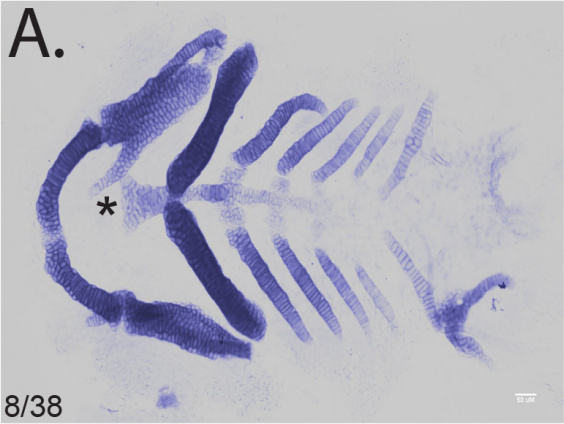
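This is the cartilage skeleton of the larval jaw and gill region, stained deep blue and seen from below. The front jaw elements form a wide U-shaped frame on the left, and behind it a large V-shaped pair of bars meets at the midline. Further back, a series of thinner paired bars runs in parallel, getting smaller toward the right. In the midline, near the front, a paler element marked by the asterisk reaches forward toward the jaw.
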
